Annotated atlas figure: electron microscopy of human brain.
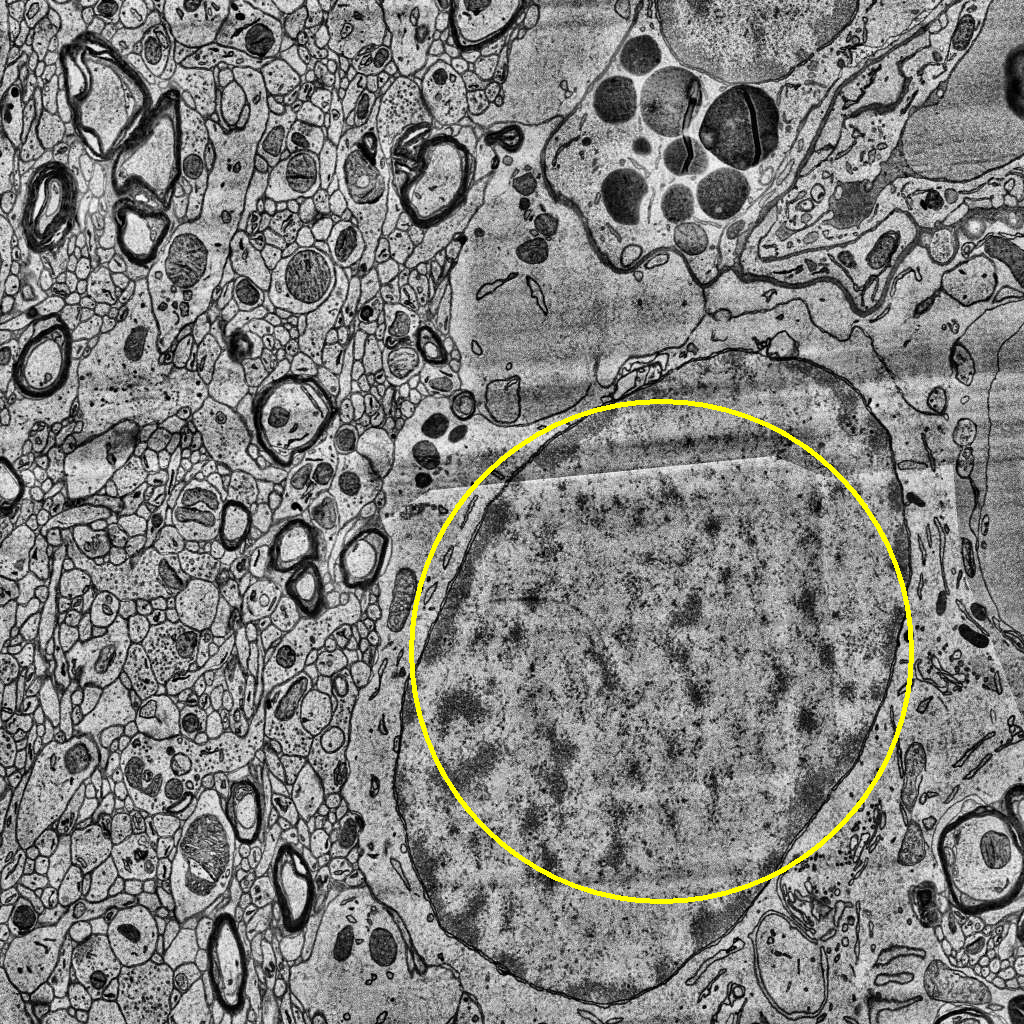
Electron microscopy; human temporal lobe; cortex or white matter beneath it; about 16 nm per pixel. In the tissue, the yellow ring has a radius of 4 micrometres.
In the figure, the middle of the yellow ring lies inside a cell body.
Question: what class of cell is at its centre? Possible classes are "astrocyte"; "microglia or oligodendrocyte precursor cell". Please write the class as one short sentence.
The yellow ring's centre lies in a microglial cell or oligodendrocyte precursor cell.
